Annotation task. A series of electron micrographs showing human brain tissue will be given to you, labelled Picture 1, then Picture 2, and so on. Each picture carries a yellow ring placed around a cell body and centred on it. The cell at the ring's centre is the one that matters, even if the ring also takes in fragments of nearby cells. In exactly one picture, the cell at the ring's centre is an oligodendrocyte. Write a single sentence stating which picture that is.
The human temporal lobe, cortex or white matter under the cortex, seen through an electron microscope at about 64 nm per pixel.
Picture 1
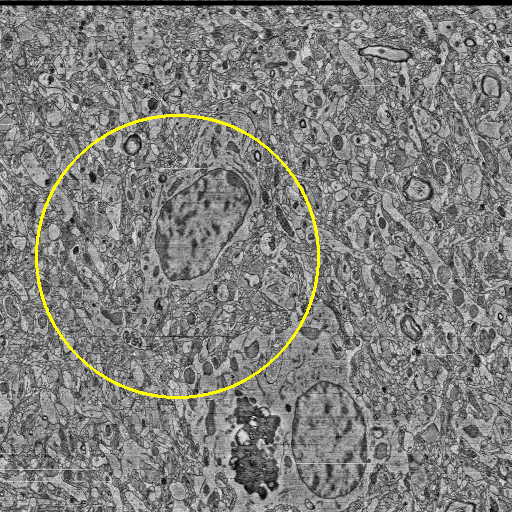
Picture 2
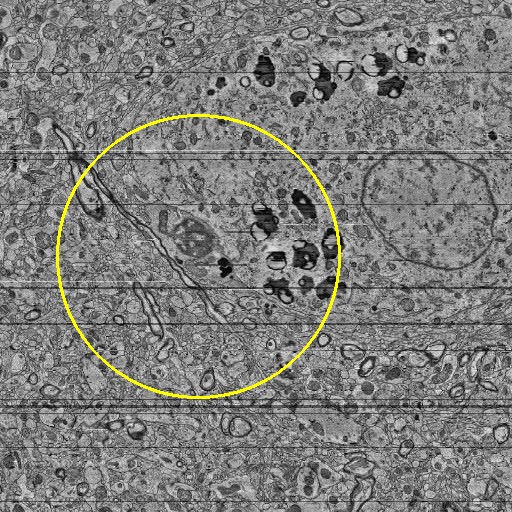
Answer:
Picture 2 holds the requested cell at the very centre of its ring.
